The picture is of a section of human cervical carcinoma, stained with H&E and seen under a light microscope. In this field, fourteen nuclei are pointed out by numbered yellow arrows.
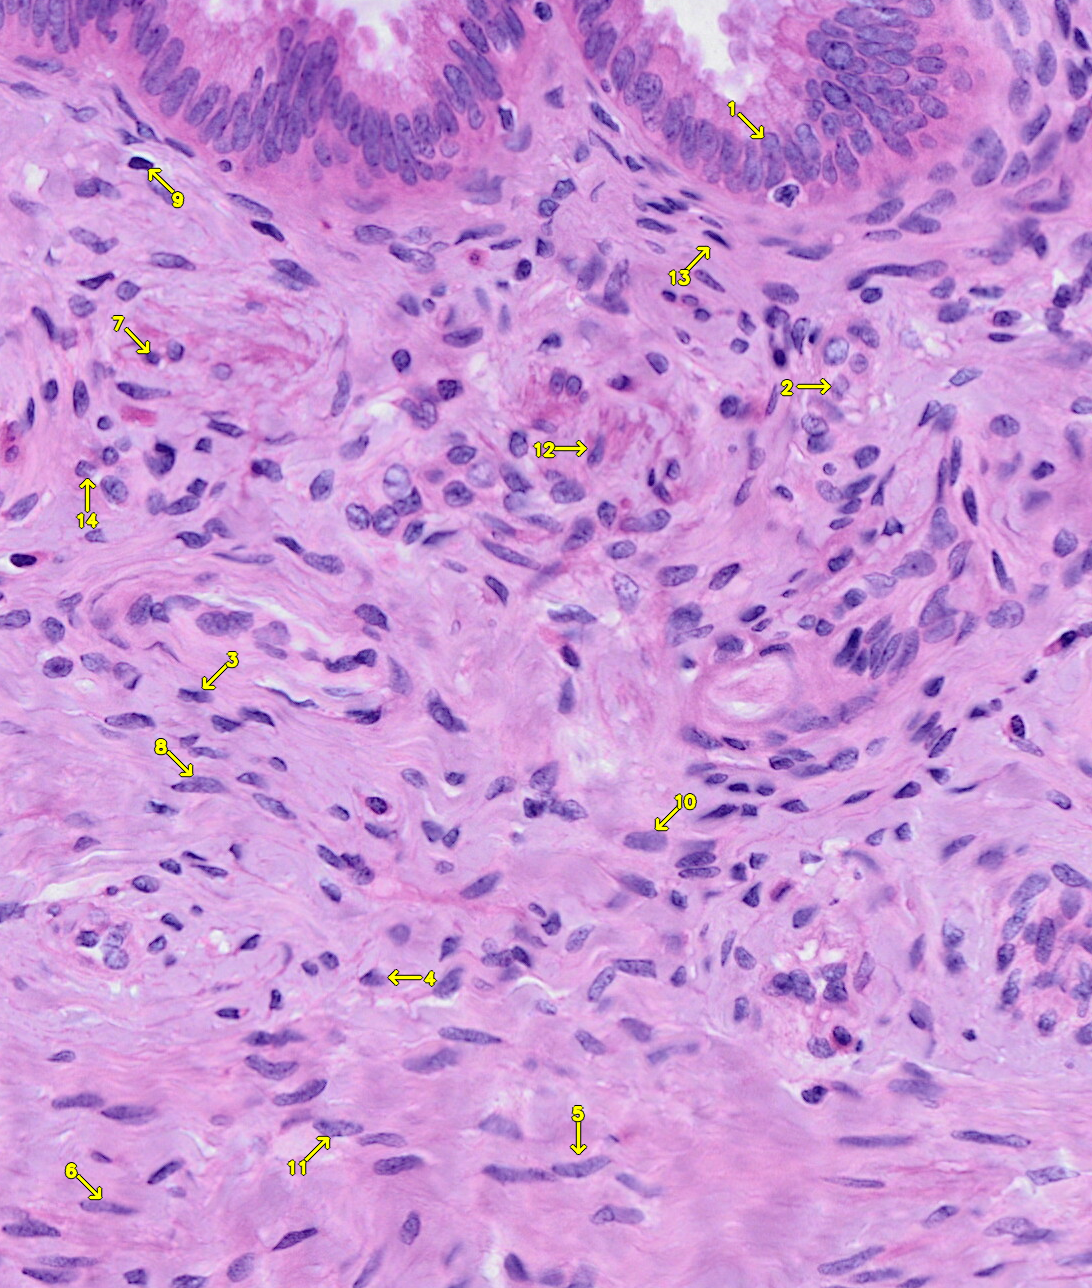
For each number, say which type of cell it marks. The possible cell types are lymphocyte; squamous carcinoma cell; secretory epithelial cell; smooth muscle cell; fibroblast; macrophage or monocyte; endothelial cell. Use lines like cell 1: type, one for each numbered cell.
cell 1: secretory epithelial cell
cell 2: endothelial cell
cell 3: fibroblast
cell 4: fibroblast
cell 5: fibroblast
cell 6: fibroblast
cell 7: smooth muscle cell
cell 8: fibroblast
cell 9: lymphocyte
cell 10: fibroblast
cell 11: fibroblast
cell 12: smooth muscle cell
cell 13: fibroblast
cell 14: endothelial cell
